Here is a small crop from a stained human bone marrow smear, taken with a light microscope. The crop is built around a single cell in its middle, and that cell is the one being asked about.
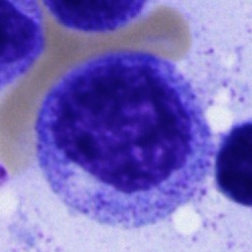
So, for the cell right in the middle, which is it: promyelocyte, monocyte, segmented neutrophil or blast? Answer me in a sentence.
Where the crop is centred, there is a promyelocyte.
